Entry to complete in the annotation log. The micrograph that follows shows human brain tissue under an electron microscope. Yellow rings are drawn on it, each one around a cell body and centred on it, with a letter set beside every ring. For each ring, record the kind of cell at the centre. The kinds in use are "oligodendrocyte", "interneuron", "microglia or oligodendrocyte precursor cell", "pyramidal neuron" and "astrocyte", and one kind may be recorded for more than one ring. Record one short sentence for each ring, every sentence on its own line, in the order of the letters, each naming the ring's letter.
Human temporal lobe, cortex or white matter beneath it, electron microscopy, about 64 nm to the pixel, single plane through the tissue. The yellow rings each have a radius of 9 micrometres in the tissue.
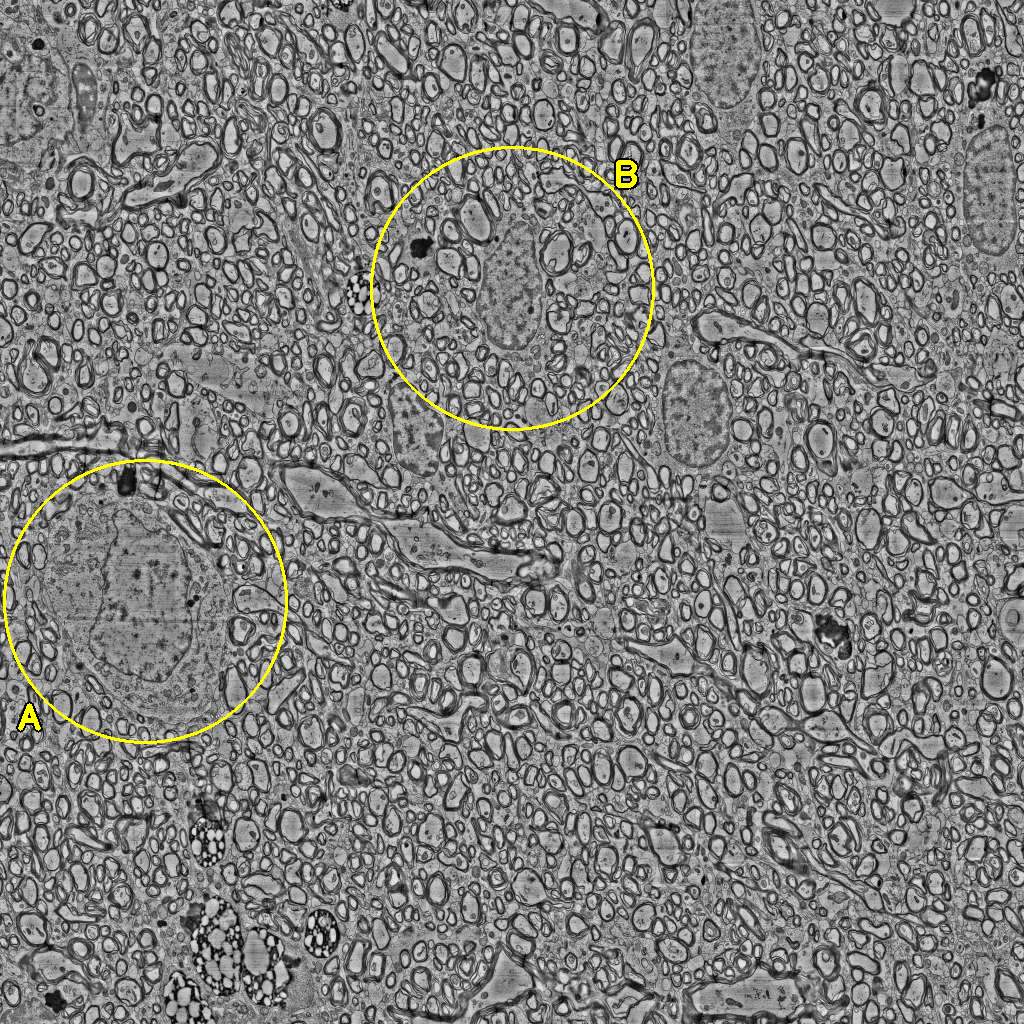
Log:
Ring A is placed around a pyramidal neuron.
Ring B is placed around an oligodendrocyte.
